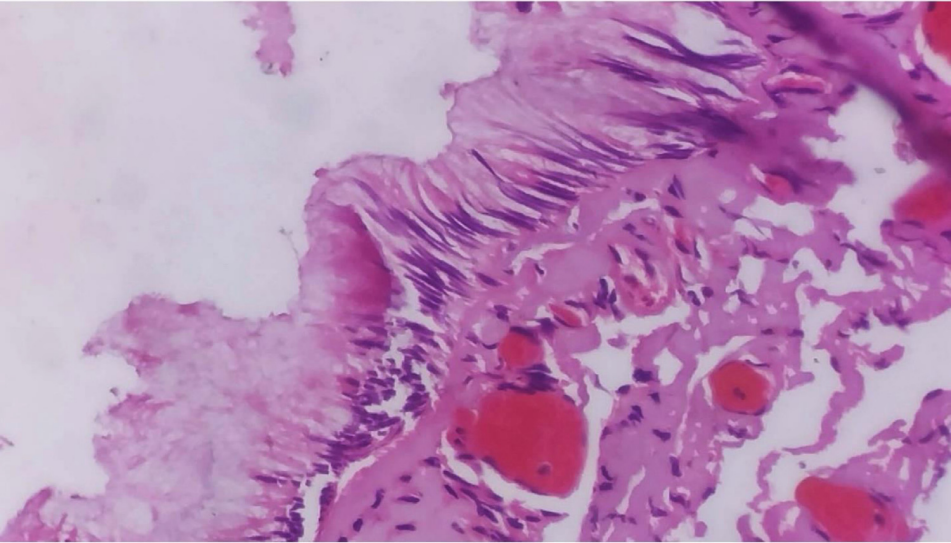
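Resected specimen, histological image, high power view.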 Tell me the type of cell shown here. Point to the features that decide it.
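Tall narrow cells form the lining of a surface. Elongated nuclei lie at different heights within the lining. Pink material lies against the luminal surface of the lining. The answer: pseudostratified columnar cells.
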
